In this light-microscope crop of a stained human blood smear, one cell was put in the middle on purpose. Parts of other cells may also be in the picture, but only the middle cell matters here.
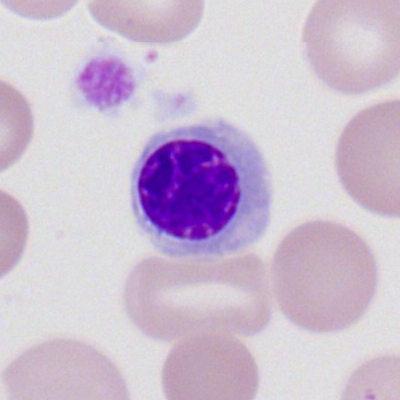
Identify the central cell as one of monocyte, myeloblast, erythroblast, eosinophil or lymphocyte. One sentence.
The crop centres on a single cell, and that cell is an erythroblast.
